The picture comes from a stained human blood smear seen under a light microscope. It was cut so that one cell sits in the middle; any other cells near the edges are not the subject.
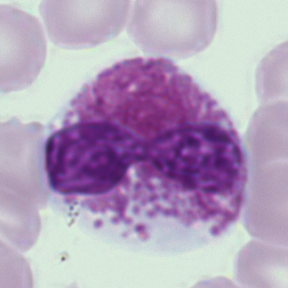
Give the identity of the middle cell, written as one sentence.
The cell sitting right in the middle is an eosinophil.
